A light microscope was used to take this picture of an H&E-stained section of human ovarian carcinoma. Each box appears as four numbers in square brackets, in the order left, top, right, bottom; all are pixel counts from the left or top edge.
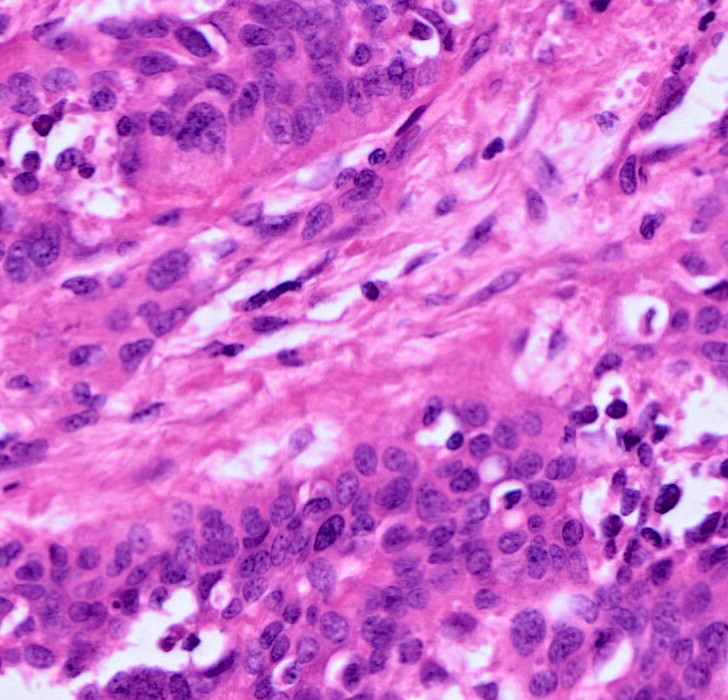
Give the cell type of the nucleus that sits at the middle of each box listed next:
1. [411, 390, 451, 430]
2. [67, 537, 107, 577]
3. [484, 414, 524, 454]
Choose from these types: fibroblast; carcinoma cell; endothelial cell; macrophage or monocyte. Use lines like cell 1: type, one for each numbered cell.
cell 1: macrophage or monocyte
cell 2: carcinoma cell
cell 3: carcinoma cell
